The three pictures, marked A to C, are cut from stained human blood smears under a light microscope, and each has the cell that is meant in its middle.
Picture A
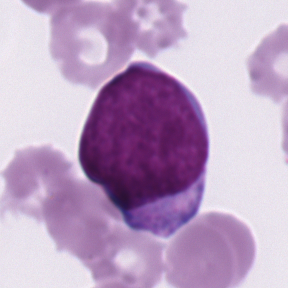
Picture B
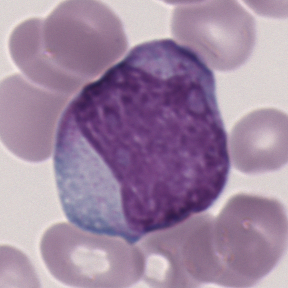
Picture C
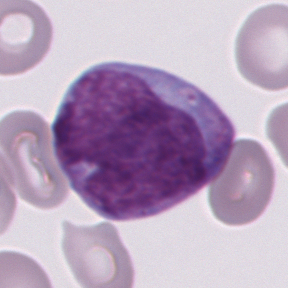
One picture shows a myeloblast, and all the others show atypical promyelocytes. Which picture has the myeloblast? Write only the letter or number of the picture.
A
